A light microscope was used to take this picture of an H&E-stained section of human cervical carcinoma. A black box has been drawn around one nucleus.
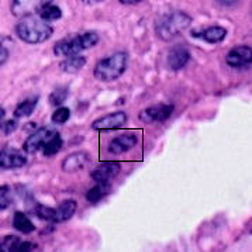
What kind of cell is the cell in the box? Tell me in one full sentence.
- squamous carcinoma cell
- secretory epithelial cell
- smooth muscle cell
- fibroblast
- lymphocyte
In this tissue section, the cell in the box is to be classed as a squamous carcinoma cell.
